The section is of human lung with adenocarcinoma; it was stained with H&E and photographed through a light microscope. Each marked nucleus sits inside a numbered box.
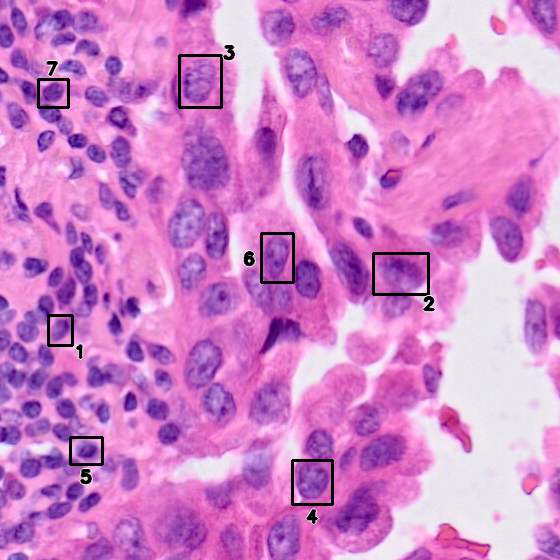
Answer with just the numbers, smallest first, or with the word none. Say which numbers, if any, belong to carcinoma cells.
2, 3, 4, 6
